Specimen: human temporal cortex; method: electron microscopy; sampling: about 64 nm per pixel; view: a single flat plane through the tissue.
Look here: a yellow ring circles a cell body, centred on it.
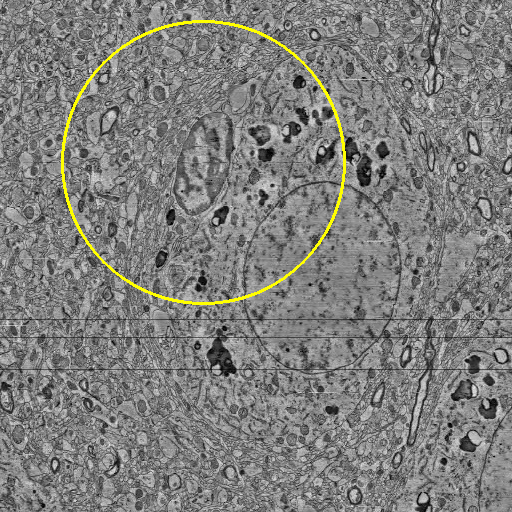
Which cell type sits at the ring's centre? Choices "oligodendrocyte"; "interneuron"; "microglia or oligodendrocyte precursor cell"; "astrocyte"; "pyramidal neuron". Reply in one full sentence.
The cell at the centre of the yellow ring in the picture is a microglial cell or oligodendrocyte precursor cell.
